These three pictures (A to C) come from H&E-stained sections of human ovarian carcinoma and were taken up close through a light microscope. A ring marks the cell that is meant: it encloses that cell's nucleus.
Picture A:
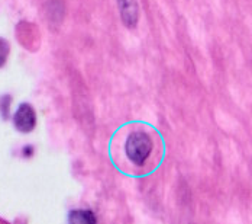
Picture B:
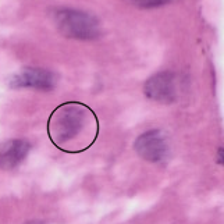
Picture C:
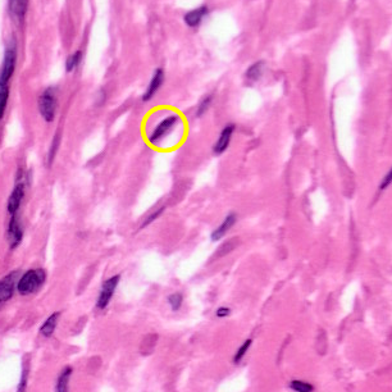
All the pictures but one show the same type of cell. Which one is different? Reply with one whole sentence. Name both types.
The different one is picture A; it shows a “macrophage or monocyte”, whereas all the others show fibroblasts.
